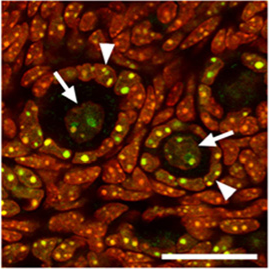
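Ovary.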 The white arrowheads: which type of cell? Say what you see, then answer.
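Follicular cells. The arrowheads point to small cells lying in a ring around a large central cell. Their nuclei carry bright green foci.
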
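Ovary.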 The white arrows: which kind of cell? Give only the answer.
young oocytes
